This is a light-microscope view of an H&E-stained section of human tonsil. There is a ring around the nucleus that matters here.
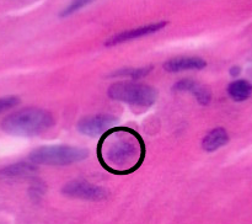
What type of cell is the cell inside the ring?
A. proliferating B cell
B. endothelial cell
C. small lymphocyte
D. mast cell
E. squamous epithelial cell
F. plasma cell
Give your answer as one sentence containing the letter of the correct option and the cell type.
Option B wins here: the cell inside the ring is an endothelial cell.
